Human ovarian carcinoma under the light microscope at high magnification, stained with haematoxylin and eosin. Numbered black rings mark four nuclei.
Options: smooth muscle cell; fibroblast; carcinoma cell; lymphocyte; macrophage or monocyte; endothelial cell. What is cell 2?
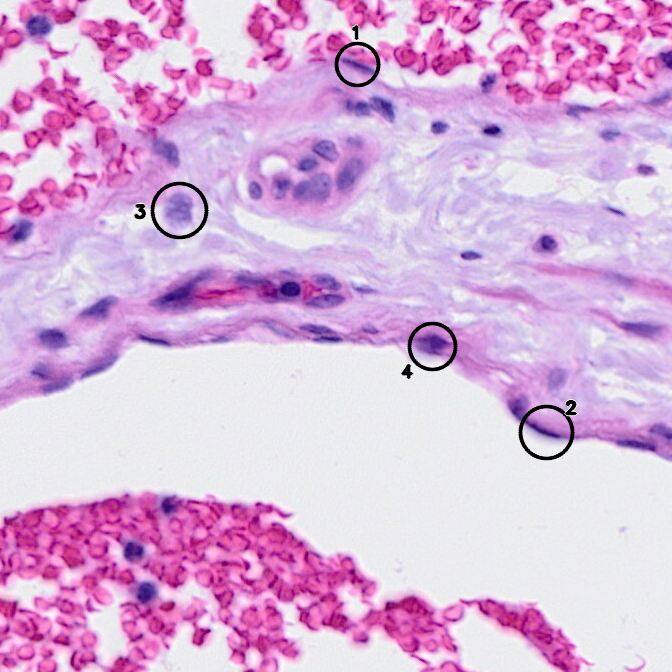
endothelial cell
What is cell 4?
endothelial cell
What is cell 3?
fibroblast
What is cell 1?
endothelial cell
